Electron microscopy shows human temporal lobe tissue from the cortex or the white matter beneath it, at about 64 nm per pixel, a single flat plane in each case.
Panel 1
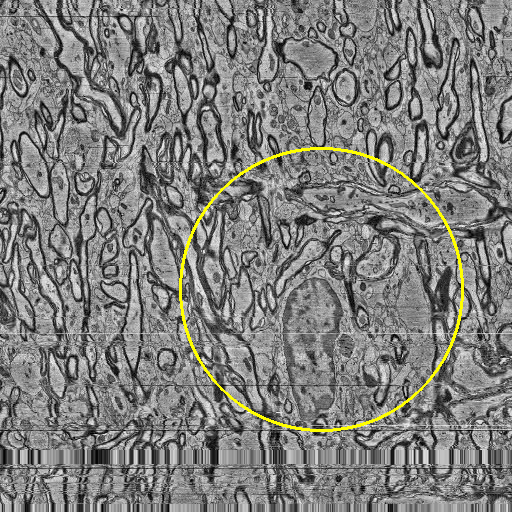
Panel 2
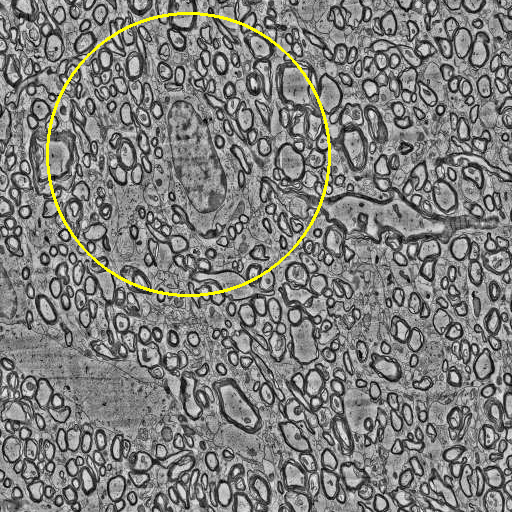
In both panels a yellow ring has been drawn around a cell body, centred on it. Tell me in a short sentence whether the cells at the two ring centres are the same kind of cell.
Yes, they are the same kind of cell.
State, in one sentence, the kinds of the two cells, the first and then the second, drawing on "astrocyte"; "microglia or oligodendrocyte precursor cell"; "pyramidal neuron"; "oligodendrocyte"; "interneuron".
Each of the two rings surrounds a microglial cell or oligodendrocyte precursor cell.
